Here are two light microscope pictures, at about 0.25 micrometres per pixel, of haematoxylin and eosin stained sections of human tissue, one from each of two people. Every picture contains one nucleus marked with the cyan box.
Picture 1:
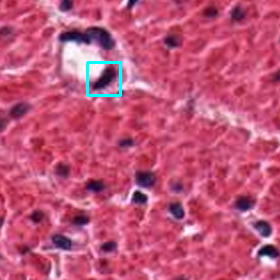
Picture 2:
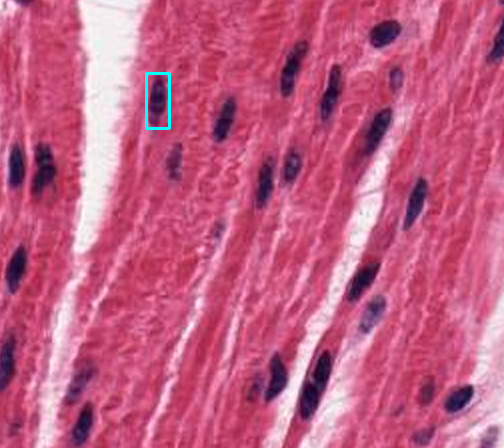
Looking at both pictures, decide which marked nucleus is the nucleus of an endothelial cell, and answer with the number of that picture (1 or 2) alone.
1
